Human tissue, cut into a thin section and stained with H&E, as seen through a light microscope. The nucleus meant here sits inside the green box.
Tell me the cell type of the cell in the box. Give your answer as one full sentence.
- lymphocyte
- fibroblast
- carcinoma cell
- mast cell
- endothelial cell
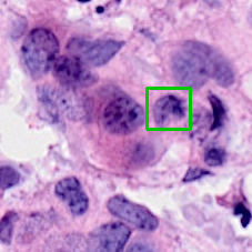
It is a carcinoma cell that the cell in the box represents.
